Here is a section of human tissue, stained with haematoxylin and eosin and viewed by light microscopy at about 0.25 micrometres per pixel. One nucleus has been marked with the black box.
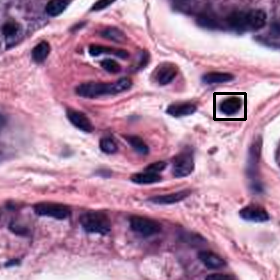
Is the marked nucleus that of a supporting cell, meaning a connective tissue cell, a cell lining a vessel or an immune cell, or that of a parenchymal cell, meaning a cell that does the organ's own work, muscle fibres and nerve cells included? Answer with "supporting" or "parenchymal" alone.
supporting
